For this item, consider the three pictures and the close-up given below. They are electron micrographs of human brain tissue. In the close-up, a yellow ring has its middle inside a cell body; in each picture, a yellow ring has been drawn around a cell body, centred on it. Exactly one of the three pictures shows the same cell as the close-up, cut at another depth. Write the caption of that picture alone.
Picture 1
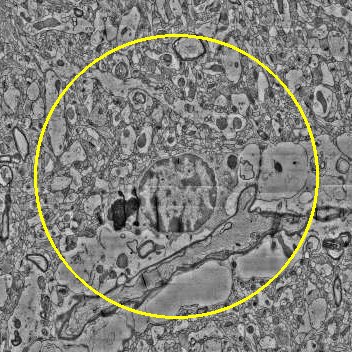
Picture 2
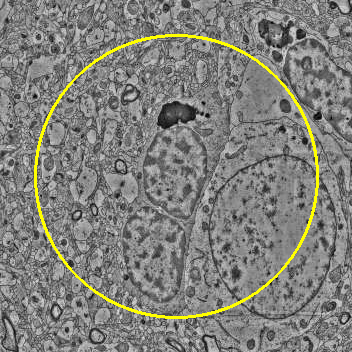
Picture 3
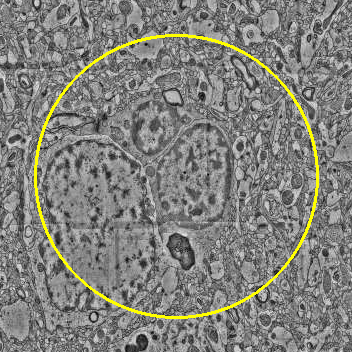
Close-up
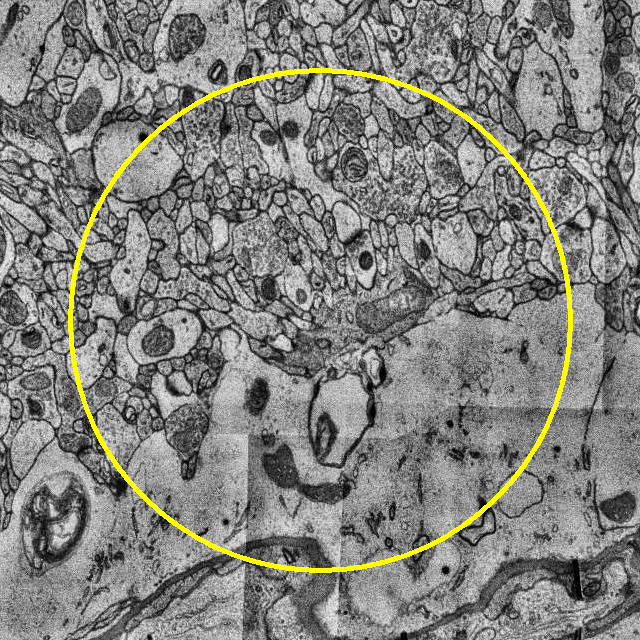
Picture 1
